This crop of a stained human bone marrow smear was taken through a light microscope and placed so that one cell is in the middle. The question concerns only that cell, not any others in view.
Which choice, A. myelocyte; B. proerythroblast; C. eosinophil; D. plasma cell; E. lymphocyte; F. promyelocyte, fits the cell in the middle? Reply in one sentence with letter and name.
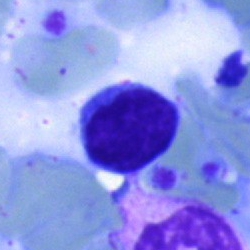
Given that the cell in the middle is a lymphocyte, option E is correct.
